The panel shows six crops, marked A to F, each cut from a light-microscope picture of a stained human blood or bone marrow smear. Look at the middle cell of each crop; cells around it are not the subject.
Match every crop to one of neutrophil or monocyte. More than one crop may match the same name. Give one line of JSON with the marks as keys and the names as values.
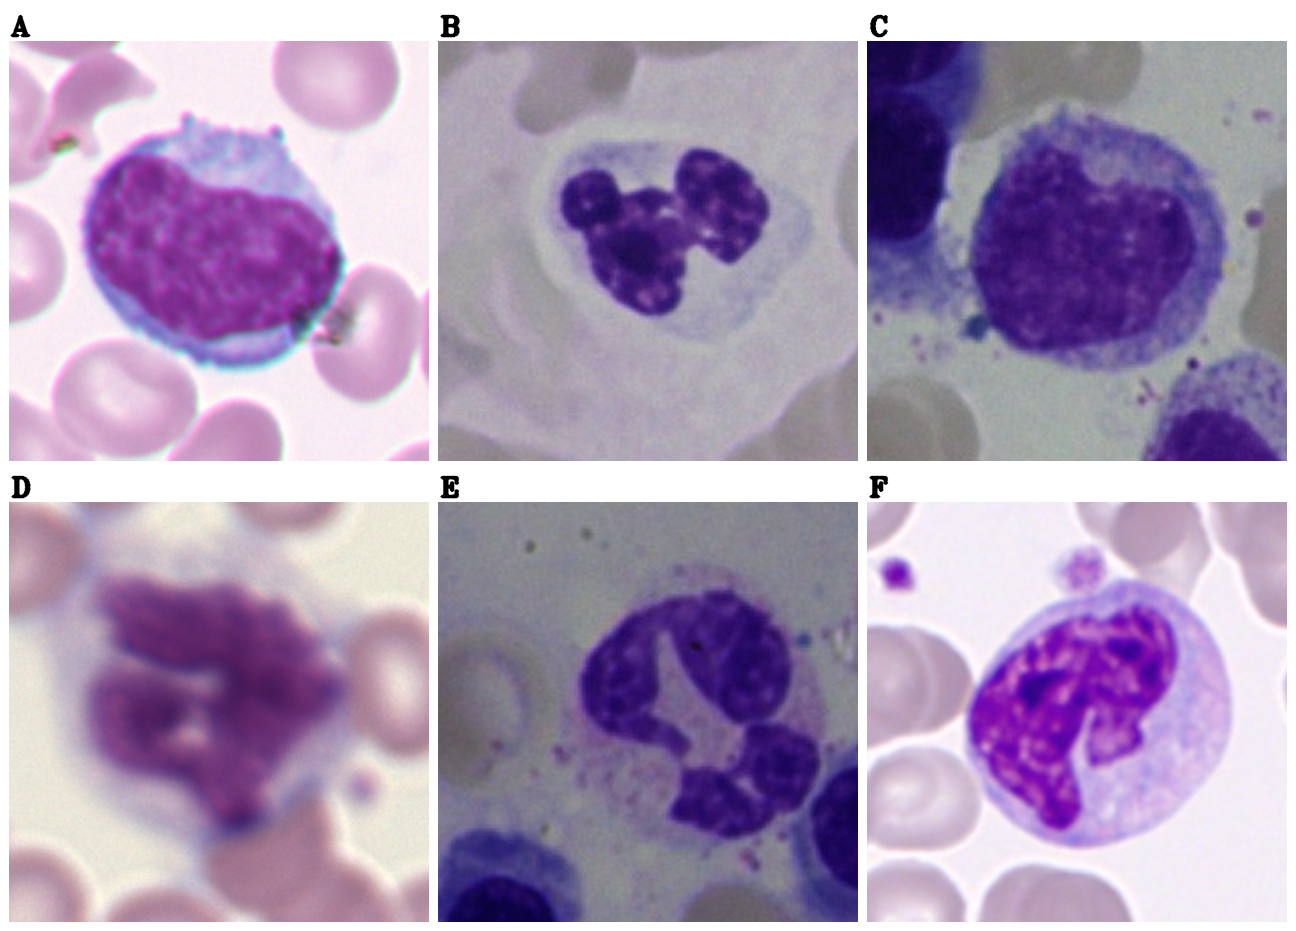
{"A": "monocyte", "B": "neutrophil", "C": "monocyte", "D": "monocyte", "E": "neutrophil", "F": "monocyte"}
